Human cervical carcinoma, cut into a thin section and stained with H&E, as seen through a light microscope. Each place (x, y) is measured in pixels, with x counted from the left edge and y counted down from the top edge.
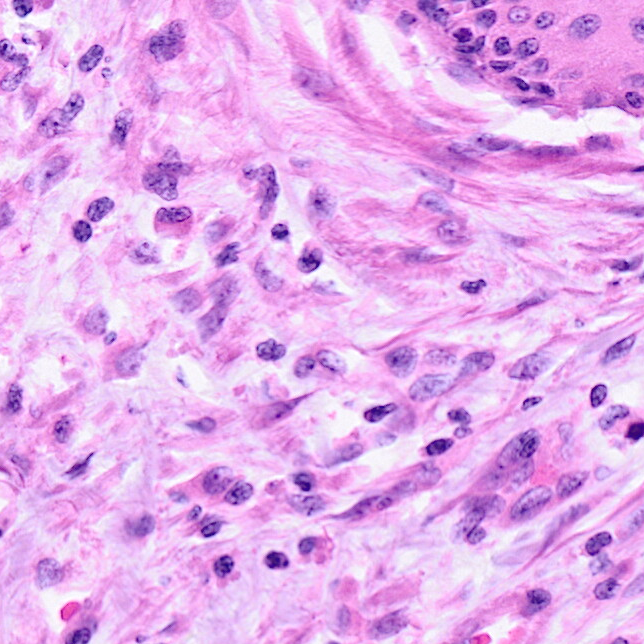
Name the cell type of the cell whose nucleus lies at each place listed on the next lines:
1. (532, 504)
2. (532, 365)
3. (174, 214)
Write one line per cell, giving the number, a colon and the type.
1: endothelial cell
2: fibroblast
3: macrophage or monocyte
